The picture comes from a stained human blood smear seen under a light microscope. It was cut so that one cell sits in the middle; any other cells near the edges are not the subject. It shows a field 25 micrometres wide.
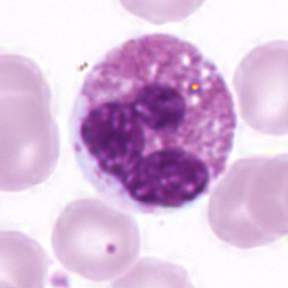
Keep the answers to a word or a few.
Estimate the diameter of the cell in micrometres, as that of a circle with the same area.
15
